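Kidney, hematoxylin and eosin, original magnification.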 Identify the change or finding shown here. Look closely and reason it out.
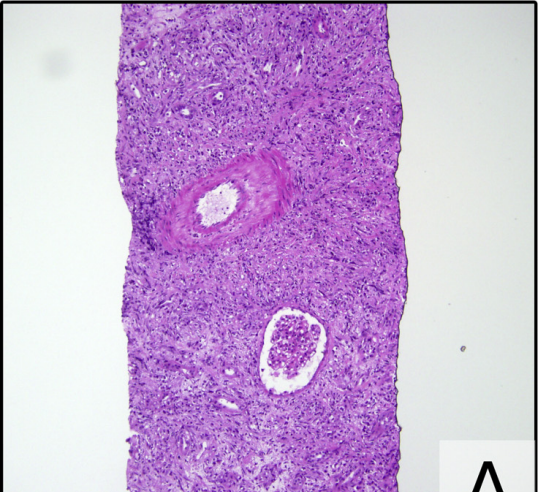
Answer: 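An extensive infiltrate. A dense cellular sheet fills the whole core.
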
